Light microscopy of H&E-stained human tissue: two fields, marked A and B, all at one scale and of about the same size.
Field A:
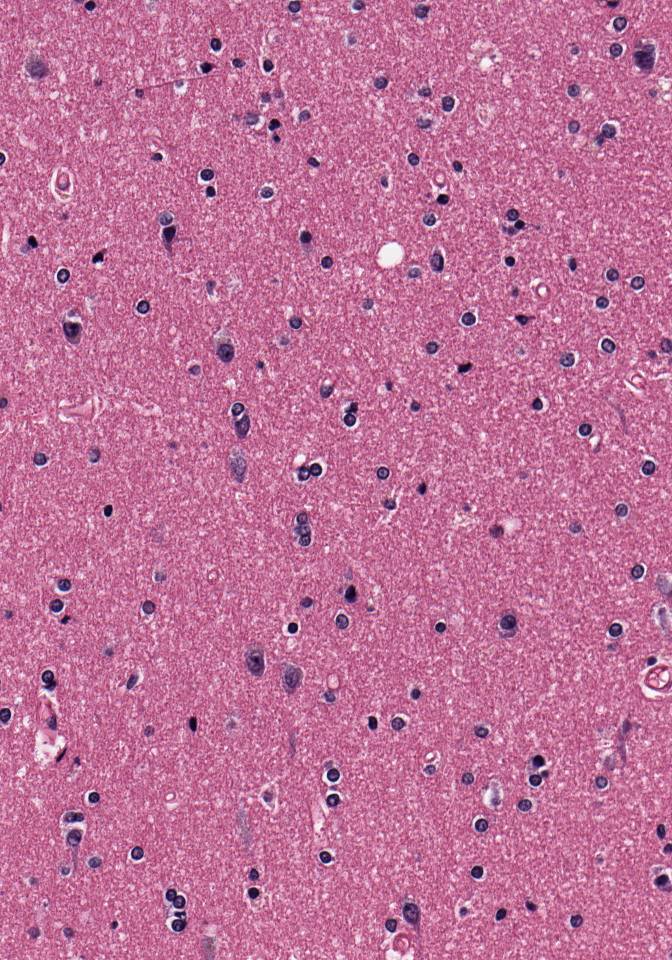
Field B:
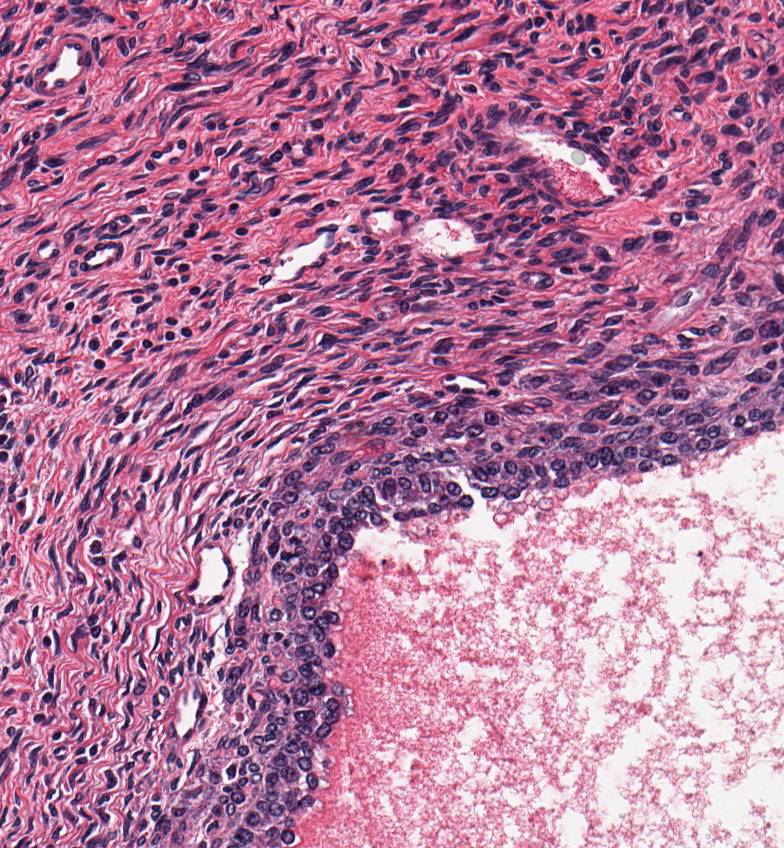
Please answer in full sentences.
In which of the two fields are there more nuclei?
Field B holds more nuclei than field A.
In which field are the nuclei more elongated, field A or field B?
The nuclei are more elongated in field B.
